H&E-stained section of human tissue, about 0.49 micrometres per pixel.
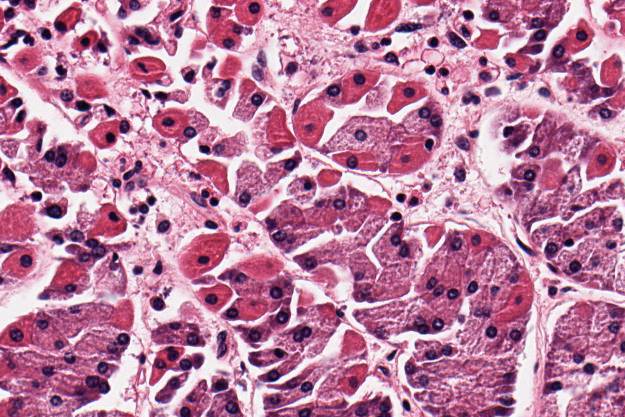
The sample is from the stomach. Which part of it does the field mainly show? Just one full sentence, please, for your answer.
In this tissue section, the part on display is fundic glands.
